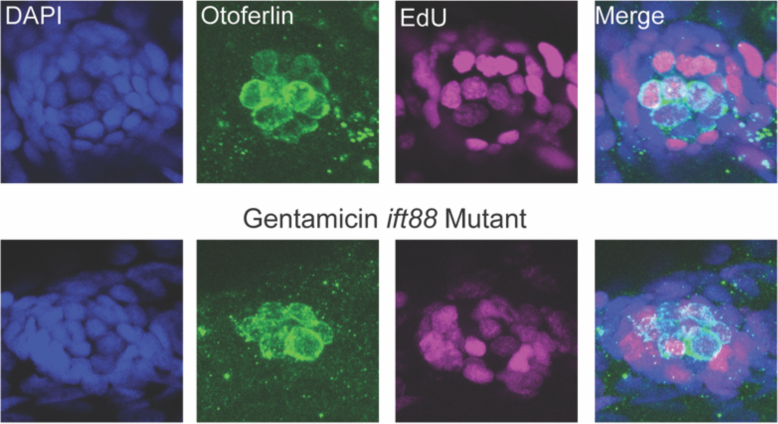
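Each row shows a small rounded sensory organ, a neuromast, as a rosette of tightly packed oval blue nuclei. At its centre lies a compact cluster of rounded cells whose outlines and cytoplasm are stained green; these are the hair cells. Many nuclei across the organ are magenta, both inside the green central cells and among the surrounding supporting cells at the periphery. In the merged images the green-outlined central cells can be seen to hold magenta nuclei.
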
